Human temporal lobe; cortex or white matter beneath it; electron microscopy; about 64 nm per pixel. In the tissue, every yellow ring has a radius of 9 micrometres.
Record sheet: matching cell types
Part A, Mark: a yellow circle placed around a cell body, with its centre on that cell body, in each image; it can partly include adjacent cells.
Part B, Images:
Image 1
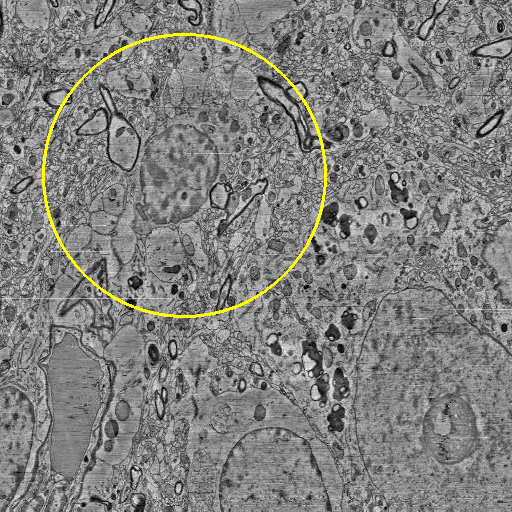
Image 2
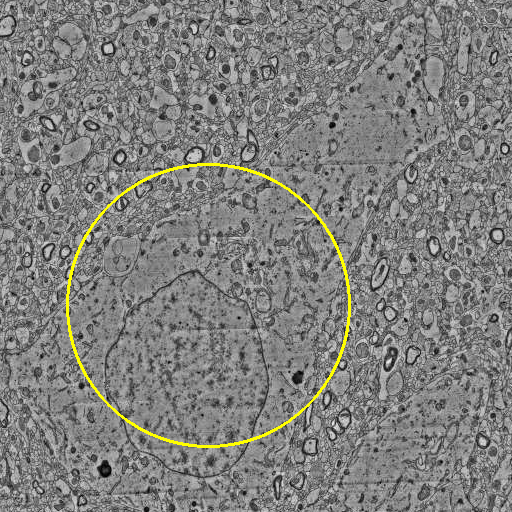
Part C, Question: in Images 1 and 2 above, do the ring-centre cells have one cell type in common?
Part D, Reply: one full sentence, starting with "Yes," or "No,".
No, the ring-centre cells of Image 1 and Image 2 are each of a separate cell type.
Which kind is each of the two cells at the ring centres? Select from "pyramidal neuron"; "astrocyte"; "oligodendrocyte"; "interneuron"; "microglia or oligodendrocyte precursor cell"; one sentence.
The cell at the centre of the ring is an oligodendrocyte in the first picture and a pyramidal neuron in the second.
